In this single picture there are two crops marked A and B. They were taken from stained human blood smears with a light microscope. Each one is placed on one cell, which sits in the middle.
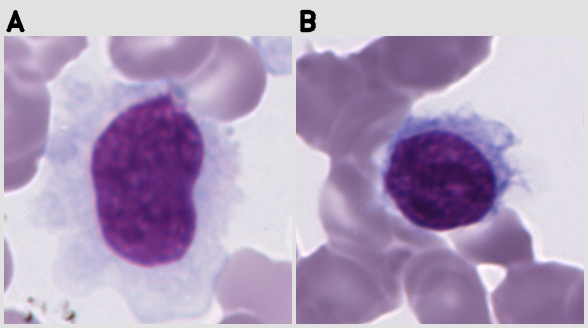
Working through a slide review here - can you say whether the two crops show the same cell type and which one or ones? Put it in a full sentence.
Yes, hairy cells occupy the centre of both crops.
